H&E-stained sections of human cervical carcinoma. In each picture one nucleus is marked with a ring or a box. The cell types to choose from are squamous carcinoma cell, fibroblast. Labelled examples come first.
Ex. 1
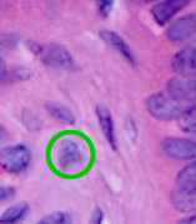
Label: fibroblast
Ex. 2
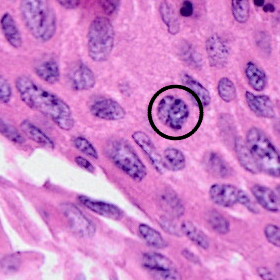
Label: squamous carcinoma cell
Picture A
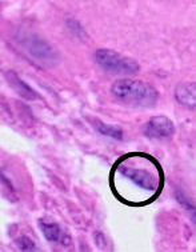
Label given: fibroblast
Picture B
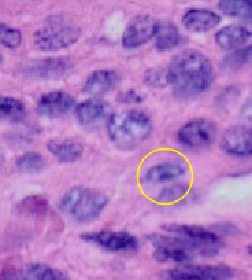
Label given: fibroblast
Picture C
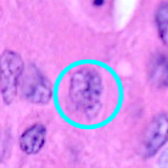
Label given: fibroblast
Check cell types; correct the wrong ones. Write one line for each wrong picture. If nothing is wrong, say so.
Wrong: B (fibroblast); correct: squamous carcinoma cell
Wrong: C (fibroblast); correct: squamous carcinoma cell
